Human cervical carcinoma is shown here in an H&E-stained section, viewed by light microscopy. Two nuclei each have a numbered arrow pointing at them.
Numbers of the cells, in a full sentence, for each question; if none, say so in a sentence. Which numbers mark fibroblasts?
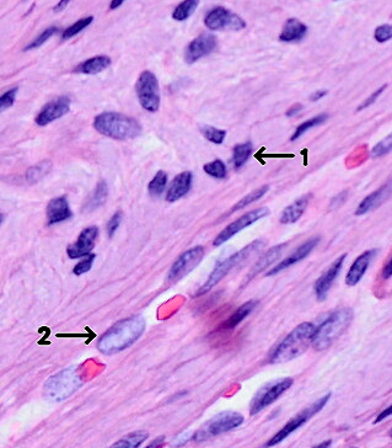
There is only one numbered cell that is a fibroblast, and it is cell 1.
